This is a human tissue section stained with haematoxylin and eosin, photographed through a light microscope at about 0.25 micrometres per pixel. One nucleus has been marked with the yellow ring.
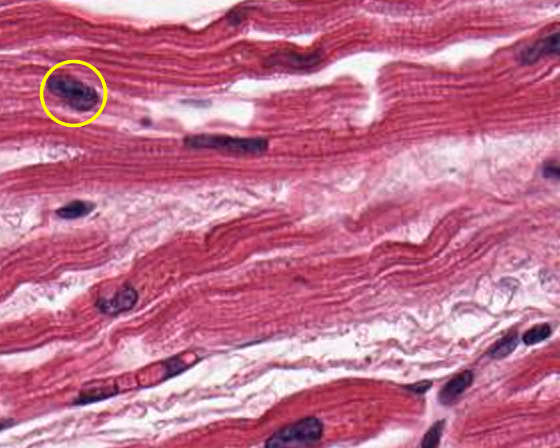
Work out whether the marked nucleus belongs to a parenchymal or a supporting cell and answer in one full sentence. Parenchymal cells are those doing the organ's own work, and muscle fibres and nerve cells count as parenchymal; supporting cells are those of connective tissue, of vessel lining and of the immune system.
The marked nucleus is the nucleus of a cardiomyocyte, a cell of the parenchyma.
